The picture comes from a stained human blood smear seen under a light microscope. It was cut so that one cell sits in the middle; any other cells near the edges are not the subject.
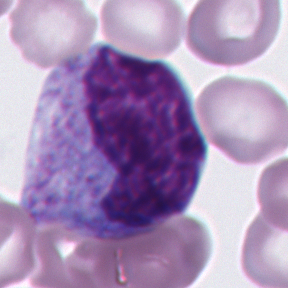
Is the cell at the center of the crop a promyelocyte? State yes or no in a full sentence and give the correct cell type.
Yes, the crop is centred on a promyelocyte.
